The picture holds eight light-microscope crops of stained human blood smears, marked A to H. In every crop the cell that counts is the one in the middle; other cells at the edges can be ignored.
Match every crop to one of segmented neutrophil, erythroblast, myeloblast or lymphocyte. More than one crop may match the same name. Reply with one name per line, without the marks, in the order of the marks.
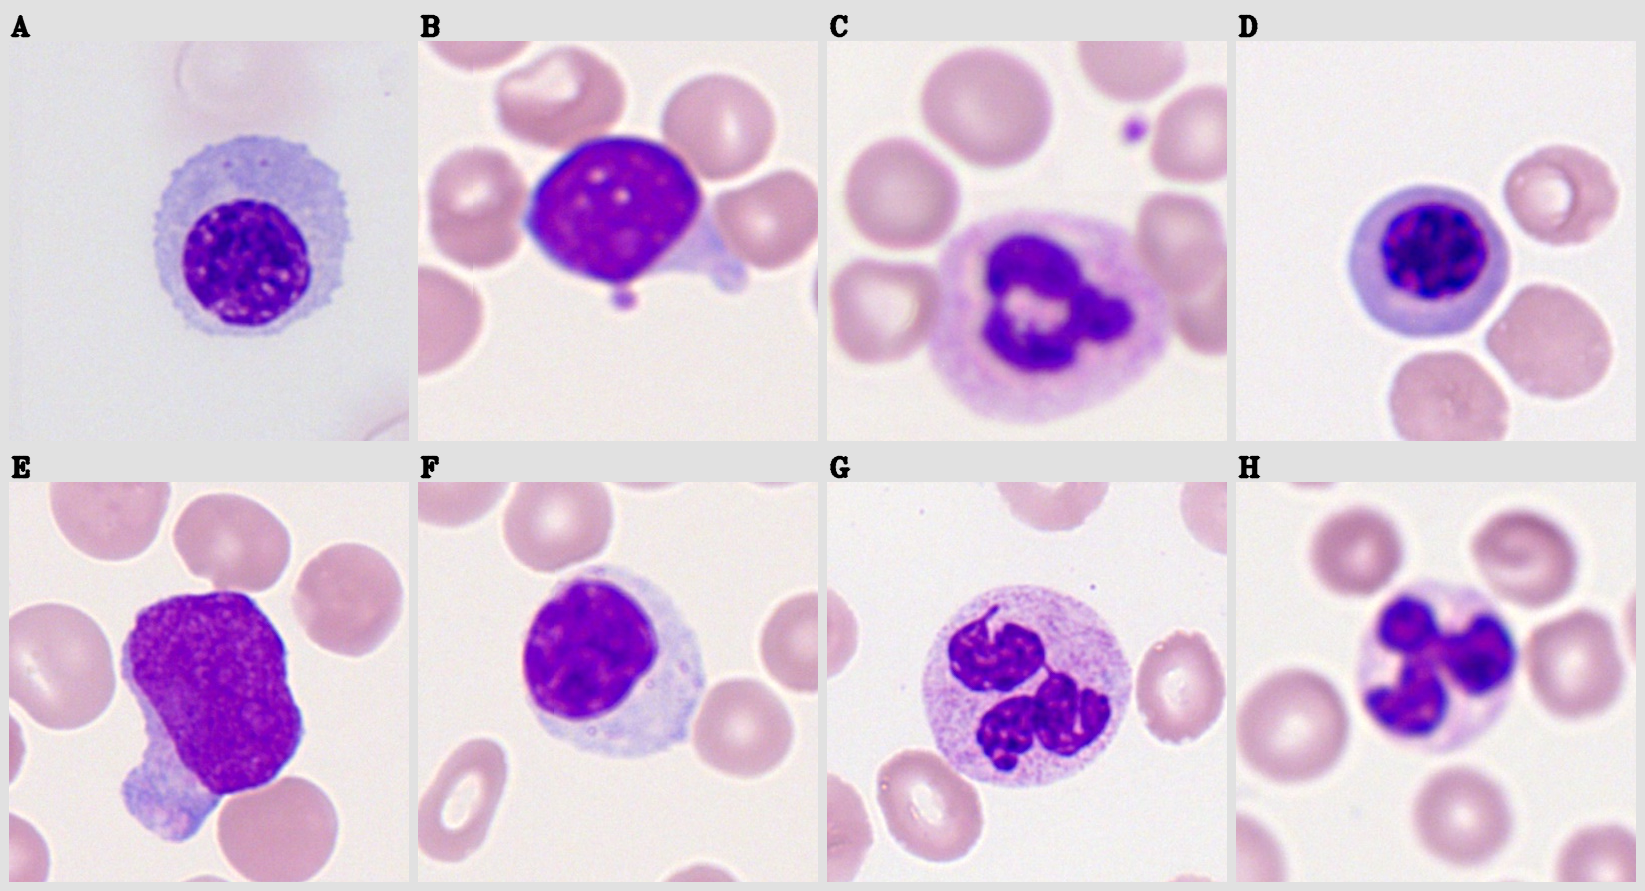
erythroblast
myeloblast
segmented neutrophil
erythroblast
myeloblast
lymphocyte
segmented neutrophil
segmented neutrophil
